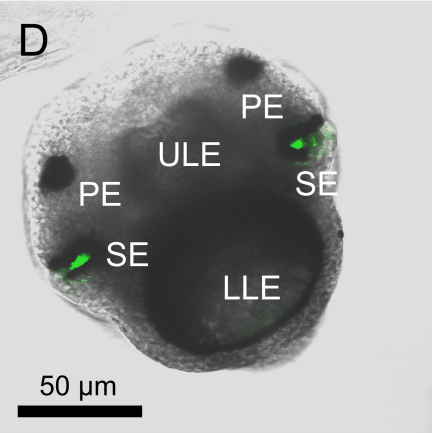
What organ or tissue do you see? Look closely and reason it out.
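A small rounded body carries several pigmented eyes. Two large lens eyes lie centrally with small pigment spots and slits on either side.
Rhopalium.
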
